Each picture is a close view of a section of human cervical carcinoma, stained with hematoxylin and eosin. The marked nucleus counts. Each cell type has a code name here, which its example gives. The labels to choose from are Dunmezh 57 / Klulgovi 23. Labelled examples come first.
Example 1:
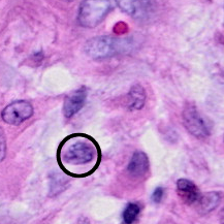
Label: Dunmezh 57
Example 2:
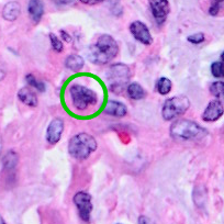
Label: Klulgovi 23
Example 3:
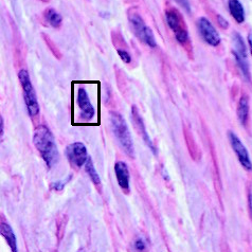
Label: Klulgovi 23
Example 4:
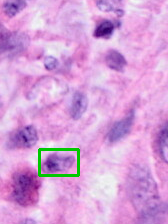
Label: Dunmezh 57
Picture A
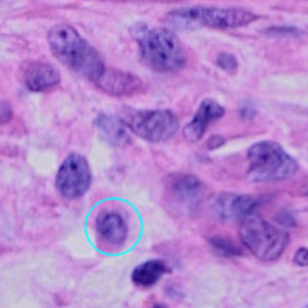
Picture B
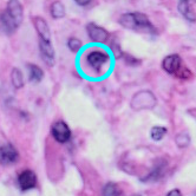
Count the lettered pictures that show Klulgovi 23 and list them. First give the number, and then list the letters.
1: B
